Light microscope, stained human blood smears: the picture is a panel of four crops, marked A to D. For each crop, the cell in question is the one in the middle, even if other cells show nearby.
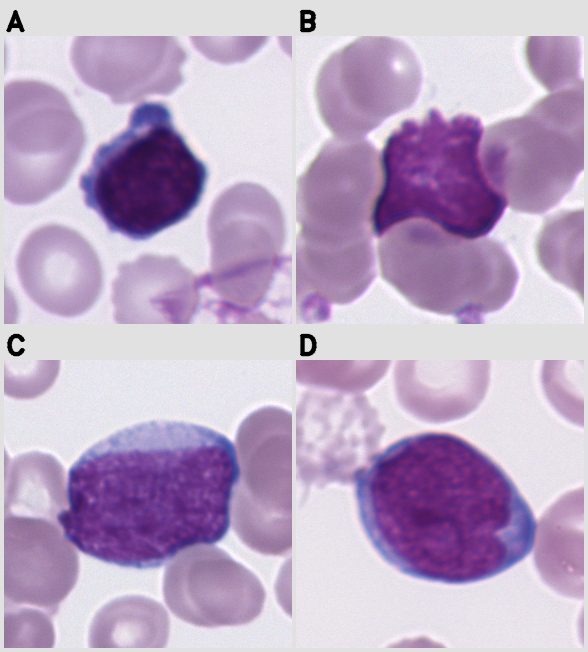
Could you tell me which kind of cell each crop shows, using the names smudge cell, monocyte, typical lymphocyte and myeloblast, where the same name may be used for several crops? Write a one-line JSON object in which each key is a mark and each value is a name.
{"A": "typical lymphocyte", "B": "smudge cell", "C": "myeloblast", "D": "myeloblast"}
